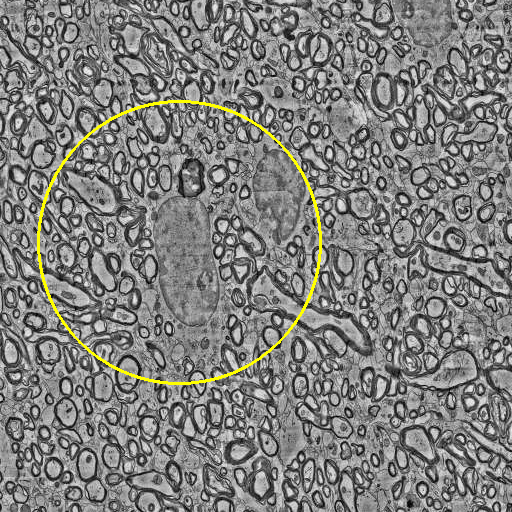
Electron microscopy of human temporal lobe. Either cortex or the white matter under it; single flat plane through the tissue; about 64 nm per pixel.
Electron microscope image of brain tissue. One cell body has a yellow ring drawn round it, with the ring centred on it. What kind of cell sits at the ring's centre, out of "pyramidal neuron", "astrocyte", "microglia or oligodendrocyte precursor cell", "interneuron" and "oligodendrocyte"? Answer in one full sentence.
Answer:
It is an oligodendrocyte whose cell body sits at the centre of the yellow ring.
